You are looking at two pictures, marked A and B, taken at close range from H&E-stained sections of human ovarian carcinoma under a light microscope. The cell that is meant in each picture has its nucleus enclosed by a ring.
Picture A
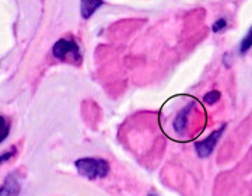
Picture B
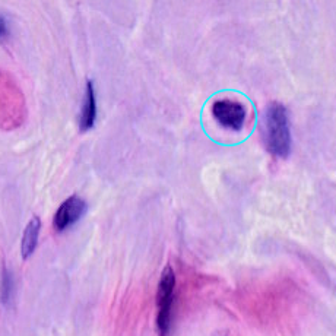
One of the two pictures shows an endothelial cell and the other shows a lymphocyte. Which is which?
A: endothelial cell
B: lymphocyte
